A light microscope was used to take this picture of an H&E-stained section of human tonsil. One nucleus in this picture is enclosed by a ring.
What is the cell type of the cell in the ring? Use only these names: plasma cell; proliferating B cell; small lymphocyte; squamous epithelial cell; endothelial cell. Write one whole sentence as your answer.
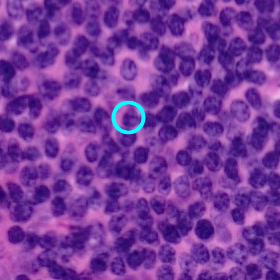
In cell-type terms, the cell in the ring is a small lymphocyte.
